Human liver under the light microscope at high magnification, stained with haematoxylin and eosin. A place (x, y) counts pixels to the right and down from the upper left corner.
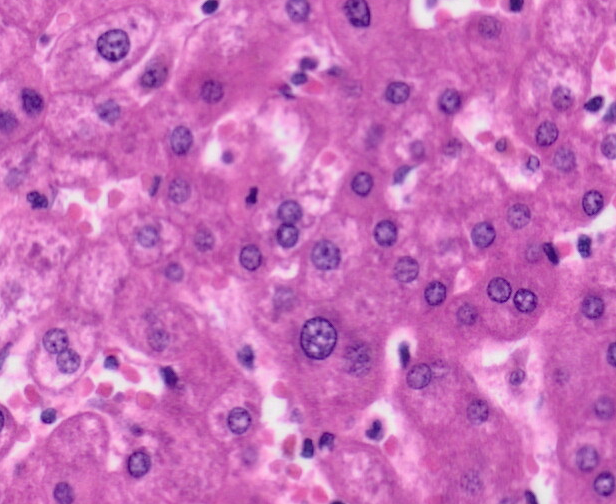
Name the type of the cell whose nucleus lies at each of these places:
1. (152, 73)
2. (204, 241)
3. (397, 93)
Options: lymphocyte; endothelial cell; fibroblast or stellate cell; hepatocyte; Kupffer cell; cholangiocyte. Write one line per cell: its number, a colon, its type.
1: Kupffer cell
2: hepatocyte
3: hepatocyte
